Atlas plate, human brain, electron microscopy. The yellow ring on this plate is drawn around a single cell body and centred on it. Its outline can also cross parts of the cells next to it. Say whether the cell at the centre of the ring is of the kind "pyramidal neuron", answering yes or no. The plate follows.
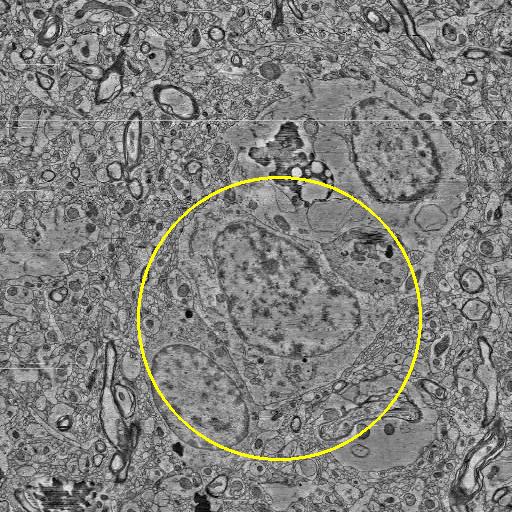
No, the cell is of another kind.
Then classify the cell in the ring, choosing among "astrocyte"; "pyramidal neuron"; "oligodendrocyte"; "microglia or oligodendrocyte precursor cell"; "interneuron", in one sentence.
What the ring encloses here is an interneuron.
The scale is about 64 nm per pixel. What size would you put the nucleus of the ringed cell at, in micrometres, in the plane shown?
In this plane, about 11 by 7 micrometres: the nucleus is clearly longer than it is wide.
